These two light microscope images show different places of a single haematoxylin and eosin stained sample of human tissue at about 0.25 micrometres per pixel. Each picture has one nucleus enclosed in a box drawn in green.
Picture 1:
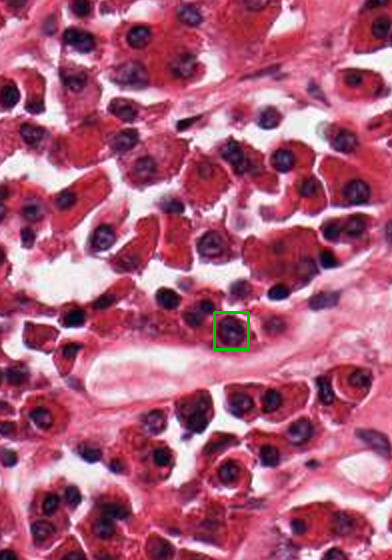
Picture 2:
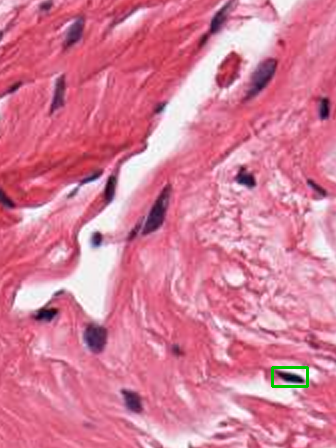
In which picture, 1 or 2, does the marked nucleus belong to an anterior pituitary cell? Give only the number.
1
